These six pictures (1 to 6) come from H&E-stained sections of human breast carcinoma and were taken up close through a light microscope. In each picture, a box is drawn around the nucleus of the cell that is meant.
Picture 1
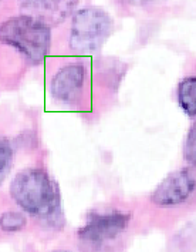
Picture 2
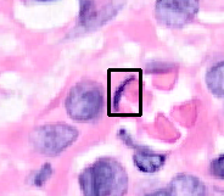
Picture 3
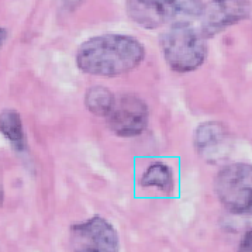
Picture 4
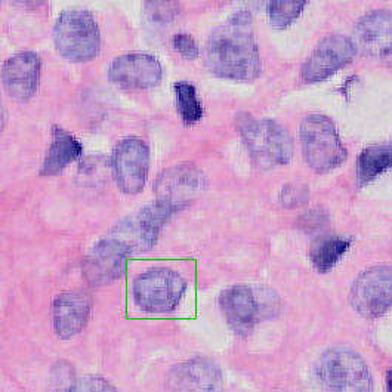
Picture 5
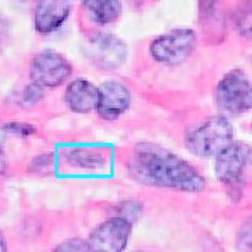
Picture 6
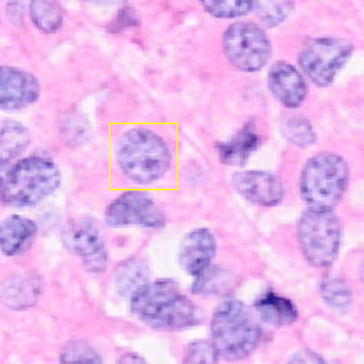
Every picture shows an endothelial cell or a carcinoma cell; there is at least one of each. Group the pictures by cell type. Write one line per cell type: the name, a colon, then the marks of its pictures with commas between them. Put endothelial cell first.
endothelial cell: 2, 3, 5
carcinoma cell: 1, 4, 6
